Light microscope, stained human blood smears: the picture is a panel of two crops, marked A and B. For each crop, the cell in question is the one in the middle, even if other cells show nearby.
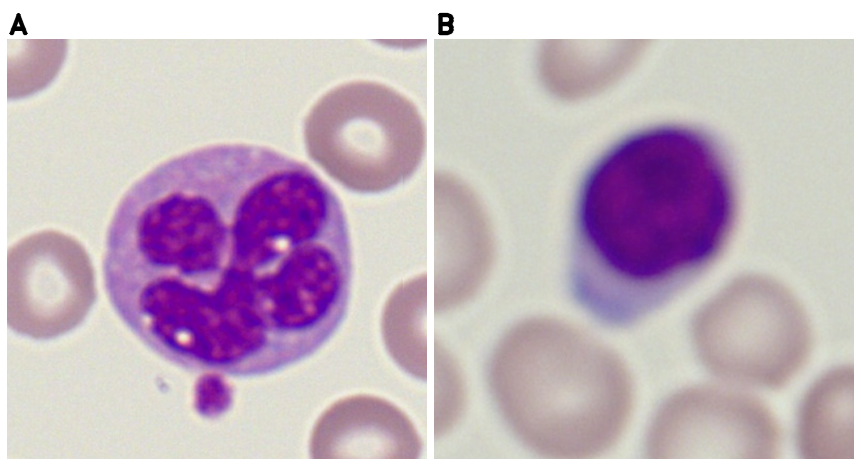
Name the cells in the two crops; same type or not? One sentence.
No, crop A corresponds to a monocyte, while crop B corresponds to a lymphocyte.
